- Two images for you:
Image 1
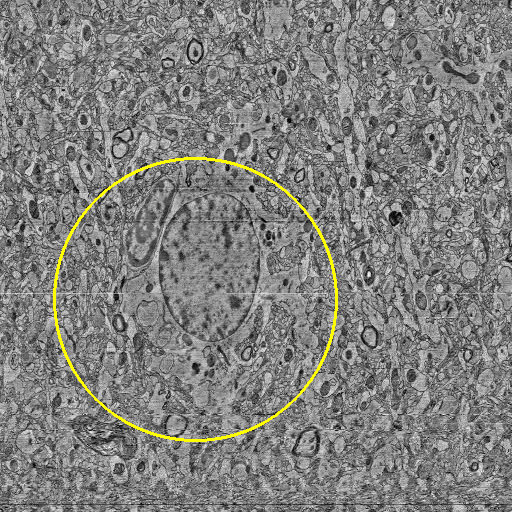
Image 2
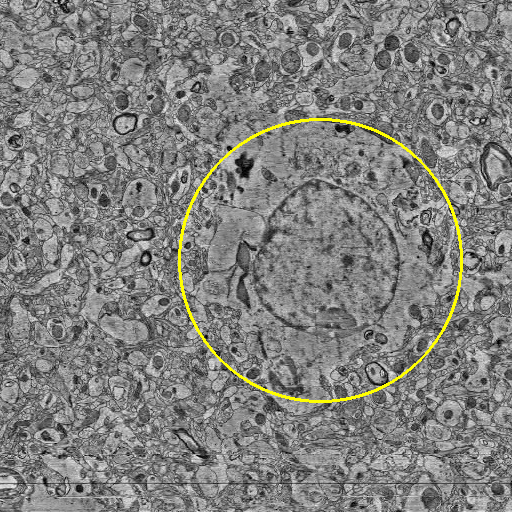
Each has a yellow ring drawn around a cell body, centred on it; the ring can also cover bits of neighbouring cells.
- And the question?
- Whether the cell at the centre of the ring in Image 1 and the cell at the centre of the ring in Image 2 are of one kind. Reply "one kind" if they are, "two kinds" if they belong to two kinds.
one kind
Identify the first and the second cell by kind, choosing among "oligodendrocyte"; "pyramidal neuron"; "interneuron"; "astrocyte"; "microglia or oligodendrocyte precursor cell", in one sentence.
The second cell is an astrocyte, just as the first is.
